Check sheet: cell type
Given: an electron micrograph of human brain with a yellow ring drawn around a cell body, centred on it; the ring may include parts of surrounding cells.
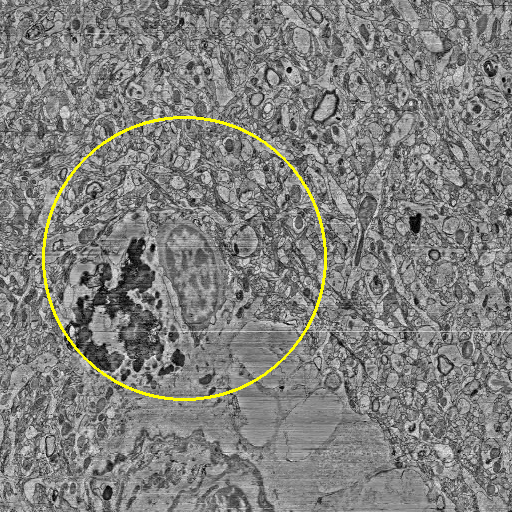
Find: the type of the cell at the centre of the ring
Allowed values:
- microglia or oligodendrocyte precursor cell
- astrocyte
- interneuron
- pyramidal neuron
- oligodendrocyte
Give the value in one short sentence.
Here the ringed cell is an oligodendrocyte.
